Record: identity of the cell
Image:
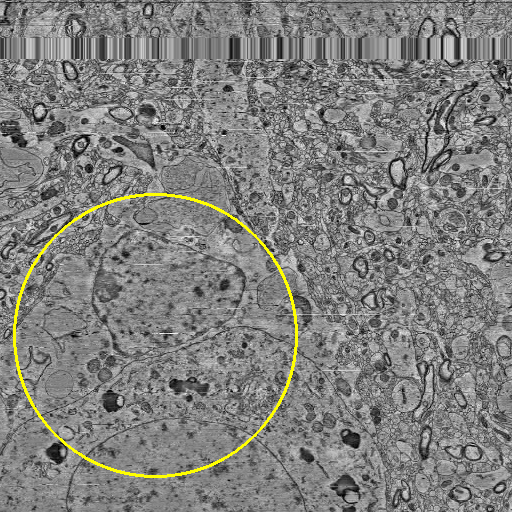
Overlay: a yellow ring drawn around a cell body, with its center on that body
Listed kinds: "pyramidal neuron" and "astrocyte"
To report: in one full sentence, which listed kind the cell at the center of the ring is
In the image, the cell body at the ring's center belongs to an astrocyte.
